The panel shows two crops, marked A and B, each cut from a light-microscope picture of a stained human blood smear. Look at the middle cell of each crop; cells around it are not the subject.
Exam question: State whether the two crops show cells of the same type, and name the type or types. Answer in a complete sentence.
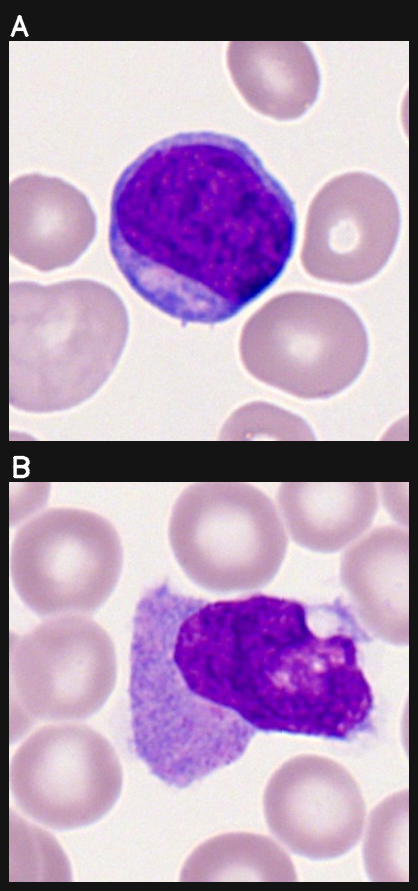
No, crop A depicts a myeloblast, and crop B depicts a monocyte.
